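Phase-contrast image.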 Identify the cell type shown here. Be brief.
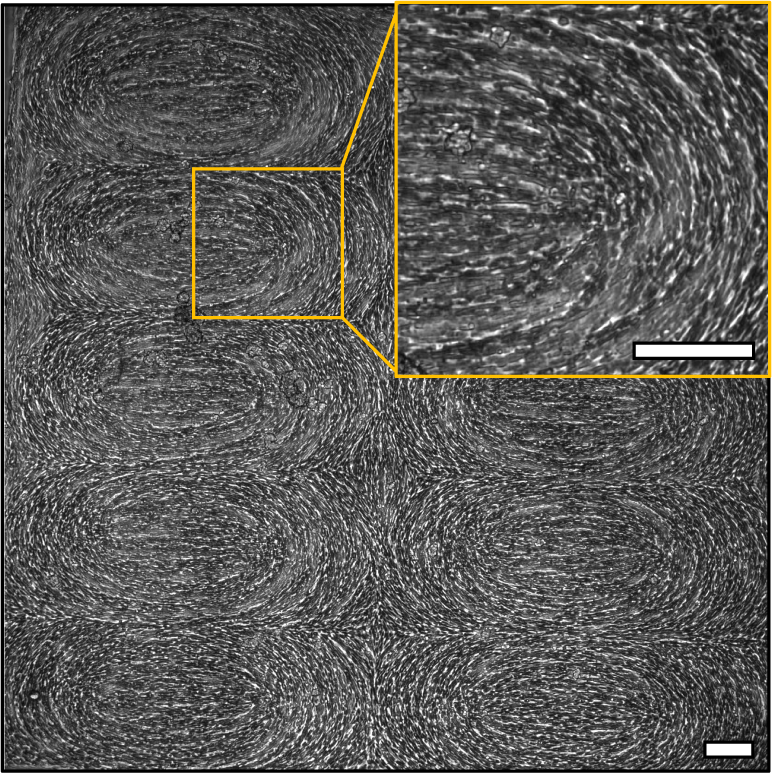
fibroblast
